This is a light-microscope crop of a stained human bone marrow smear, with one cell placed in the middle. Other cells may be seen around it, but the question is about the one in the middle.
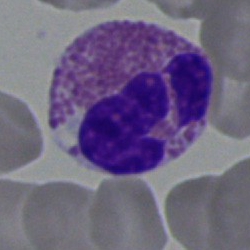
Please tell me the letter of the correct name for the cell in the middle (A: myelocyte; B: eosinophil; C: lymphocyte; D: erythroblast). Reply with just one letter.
B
